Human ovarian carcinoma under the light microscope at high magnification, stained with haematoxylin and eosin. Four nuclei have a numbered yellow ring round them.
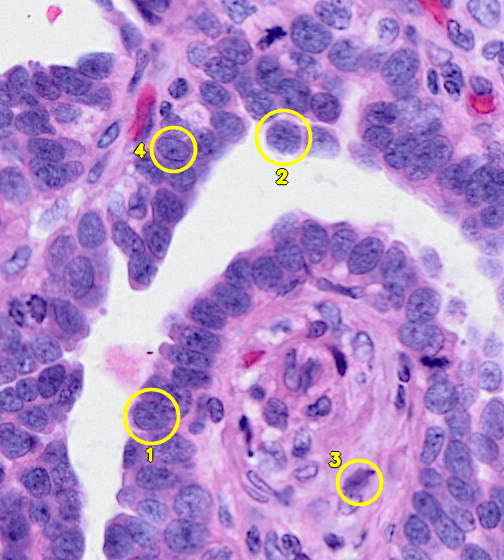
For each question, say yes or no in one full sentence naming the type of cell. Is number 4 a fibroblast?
No, that is wrong: cell 4 is a carcinoma cell, and not a fibroblast.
